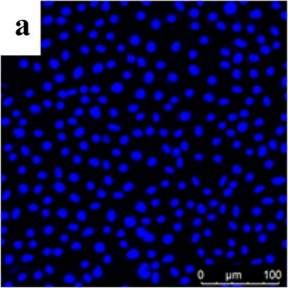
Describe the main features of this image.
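The nuclei are small, round to oval and fairly uniform in size, each evenly stained without visible nucleoli or fragmentation. They lie singly and are spread fairly evenly across the whole field, at a density that leaves narrow dark gaps between neighbours but few overlaps, as in a nearly confluent layer.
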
